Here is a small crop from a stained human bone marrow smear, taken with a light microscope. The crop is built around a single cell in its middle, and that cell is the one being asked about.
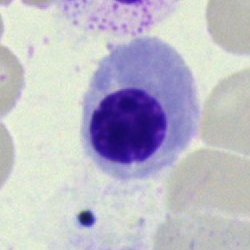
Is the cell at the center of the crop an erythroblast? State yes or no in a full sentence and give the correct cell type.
Yes, the central cell of this crop corresponds to an erythroblast.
